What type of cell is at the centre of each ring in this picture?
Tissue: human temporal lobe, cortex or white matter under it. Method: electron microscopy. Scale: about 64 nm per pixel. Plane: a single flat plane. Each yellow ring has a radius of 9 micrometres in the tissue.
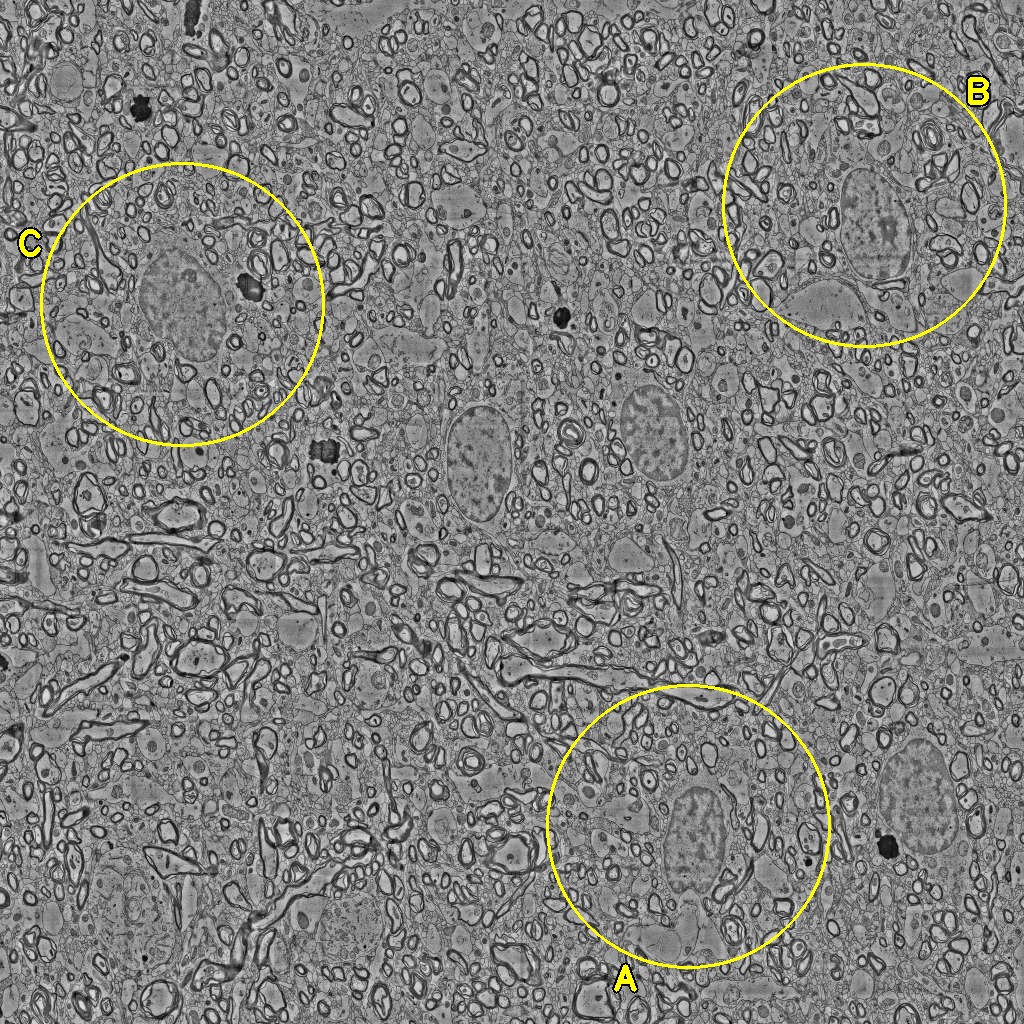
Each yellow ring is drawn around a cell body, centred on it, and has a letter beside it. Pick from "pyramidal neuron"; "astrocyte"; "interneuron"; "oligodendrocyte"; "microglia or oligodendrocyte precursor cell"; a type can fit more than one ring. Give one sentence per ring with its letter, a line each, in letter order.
The ring marked A is centred on an oligodendrocyte.
The ring marked B is centred on a microglial cell or oligodendrocyte precursor cell.
The ring marked C is centred on an oligodendrocyte.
